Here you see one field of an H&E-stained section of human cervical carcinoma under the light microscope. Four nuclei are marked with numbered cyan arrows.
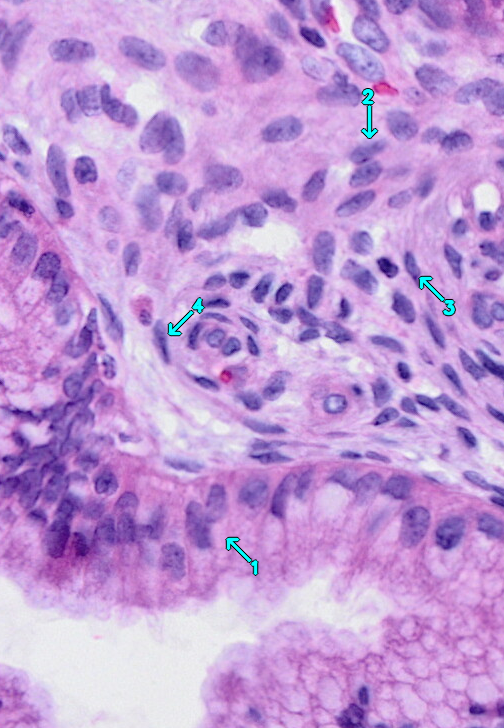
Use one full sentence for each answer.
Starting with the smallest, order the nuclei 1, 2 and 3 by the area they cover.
The order from the smallest nucleus to the largest is 3, 2, 1.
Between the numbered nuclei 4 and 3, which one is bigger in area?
Number 4 is larger; its area is about 1.5 times that of number 3.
